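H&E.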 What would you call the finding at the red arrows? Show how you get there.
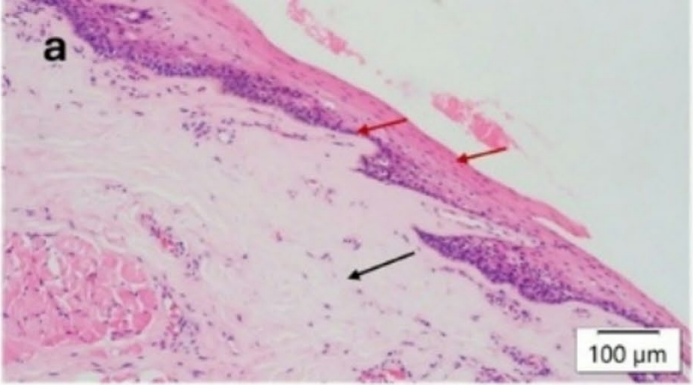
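The epithelium is thin. The answer: loss of rete ridges.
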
